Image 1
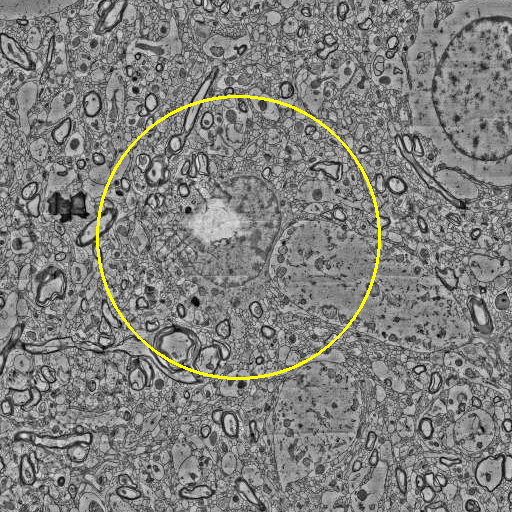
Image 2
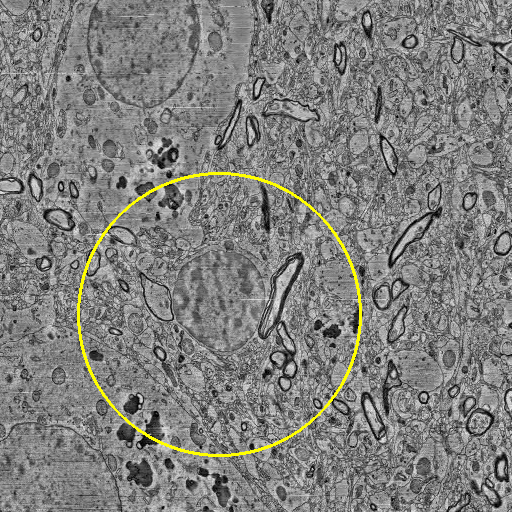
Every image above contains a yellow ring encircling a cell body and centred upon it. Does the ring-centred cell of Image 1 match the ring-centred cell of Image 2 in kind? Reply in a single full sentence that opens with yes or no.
Yes, the cell at the ring's centre in Image 1 is the same kind as that in Image 2.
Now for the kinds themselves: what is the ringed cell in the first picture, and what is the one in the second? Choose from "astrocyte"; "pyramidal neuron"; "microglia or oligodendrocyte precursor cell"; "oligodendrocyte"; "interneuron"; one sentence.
The ring centre holds an oligodendrocyte in each of the two pictures.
